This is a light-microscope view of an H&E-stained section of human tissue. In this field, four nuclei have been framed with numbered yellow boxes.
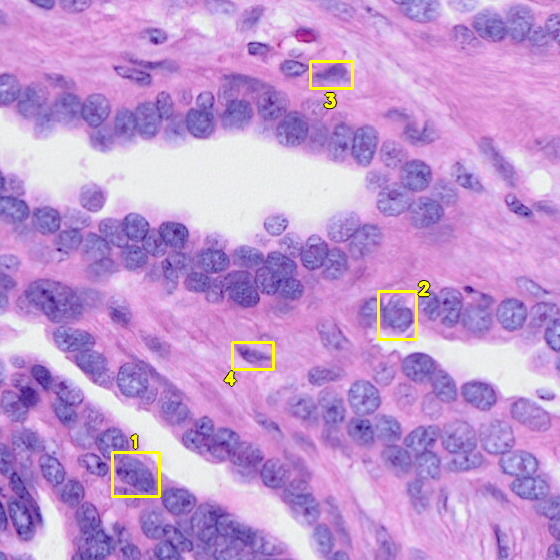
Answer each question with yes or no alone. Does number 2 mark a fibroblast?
no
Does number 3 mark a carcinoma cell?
no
